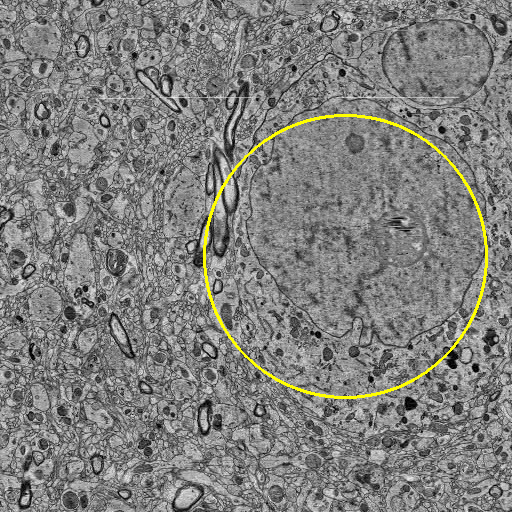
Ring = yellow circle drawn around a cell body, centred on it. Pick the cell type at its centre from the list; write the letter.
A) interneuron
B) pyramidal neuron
B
